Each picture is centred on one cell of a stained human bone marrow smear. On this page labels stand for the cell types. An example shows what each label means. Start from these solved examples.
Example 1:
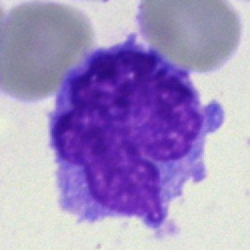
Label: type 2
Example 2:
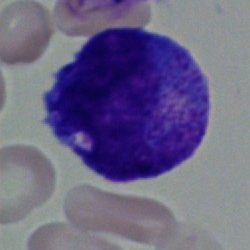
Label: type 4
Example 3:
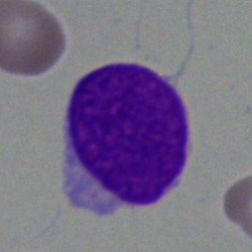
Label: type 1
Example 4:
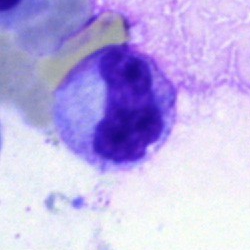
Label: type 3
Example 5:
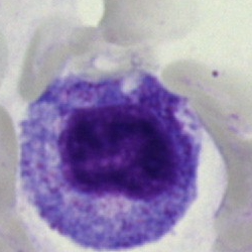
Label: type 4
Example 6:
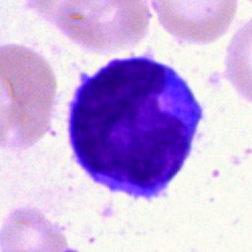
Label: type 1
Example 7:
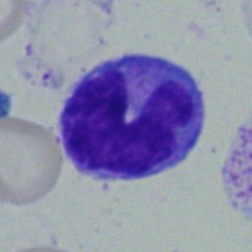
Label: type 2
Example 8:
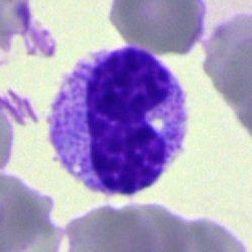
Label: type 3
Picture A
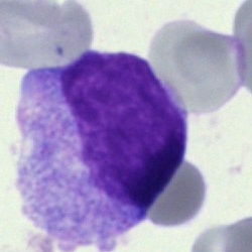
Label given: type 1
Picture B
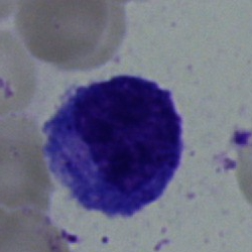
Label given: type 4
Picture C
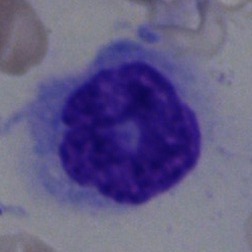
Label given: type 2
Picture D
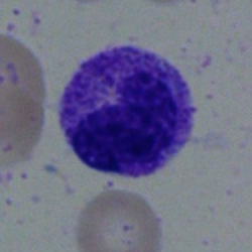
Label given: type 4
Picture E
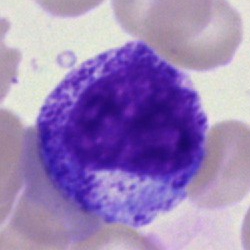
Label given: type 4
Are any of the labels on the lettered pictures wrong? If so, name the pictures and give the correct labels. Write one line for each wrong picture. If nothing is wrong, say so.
D: change type 4 to type 3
